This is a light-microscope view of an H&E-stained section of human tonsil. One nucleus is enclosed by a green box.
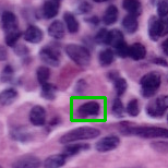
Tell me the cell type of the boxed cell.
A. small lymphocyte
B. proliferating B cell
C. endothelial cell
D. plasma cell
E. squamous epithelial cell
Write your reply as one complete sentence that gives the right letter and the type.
As the boxed cell is a plasma cell, the correct choice is option D.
